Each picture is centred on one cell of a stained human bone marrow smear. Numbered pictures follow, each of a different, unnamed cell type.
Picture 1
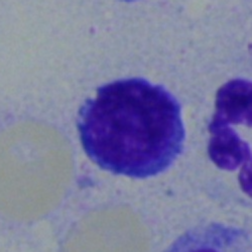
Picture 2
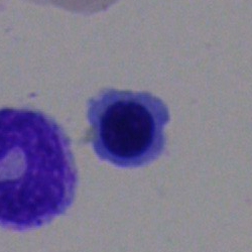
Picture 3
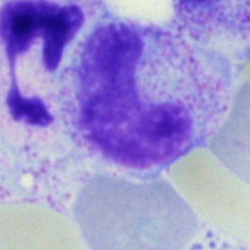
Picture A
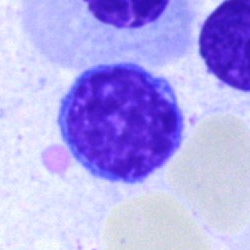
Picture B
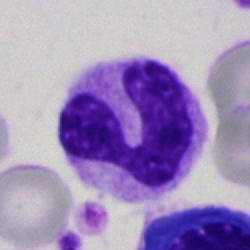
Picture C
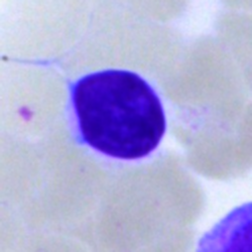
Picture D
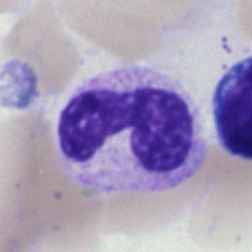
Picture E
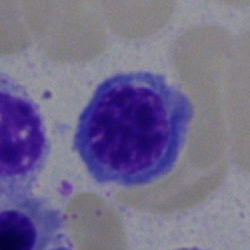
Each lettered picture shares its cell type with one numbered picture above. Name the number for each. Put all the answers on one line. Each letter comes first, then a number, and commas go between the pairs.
A 1, B 3, C 1, D 3, E 2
